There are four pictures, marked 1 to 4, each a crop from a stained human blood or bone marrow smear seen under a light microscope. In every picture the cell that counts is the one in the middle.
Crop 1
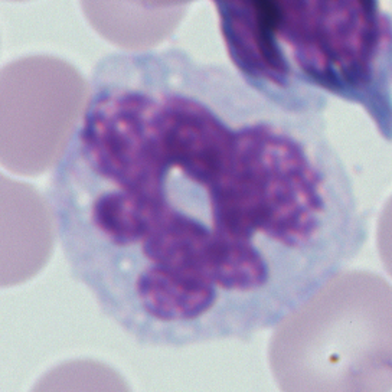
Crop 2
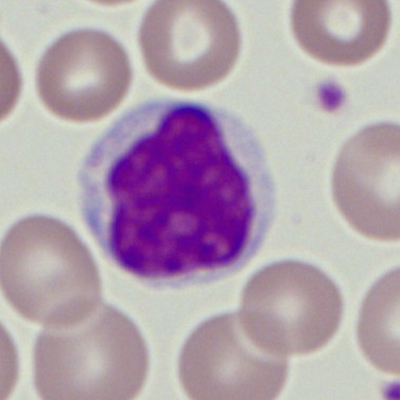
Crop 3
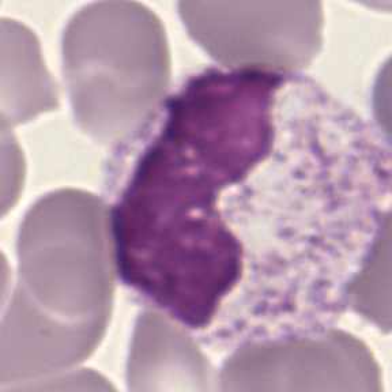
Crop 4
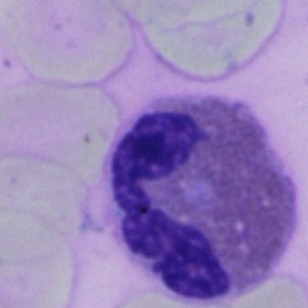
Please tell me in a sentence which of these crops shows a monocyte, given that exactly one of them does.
The one that shows a monocyte is crop 1.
